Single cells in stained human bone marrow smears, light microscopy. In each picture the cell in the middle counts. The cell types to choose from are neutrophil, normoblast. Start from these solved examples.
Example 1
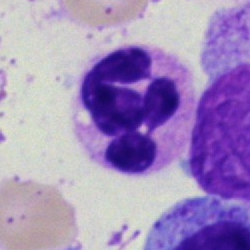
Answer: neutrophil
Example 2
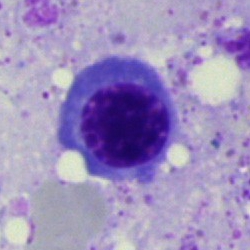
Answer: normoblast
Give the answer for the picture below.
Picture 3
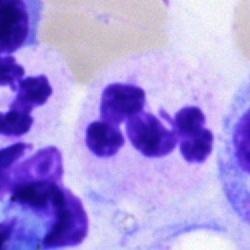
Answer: neutrophil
